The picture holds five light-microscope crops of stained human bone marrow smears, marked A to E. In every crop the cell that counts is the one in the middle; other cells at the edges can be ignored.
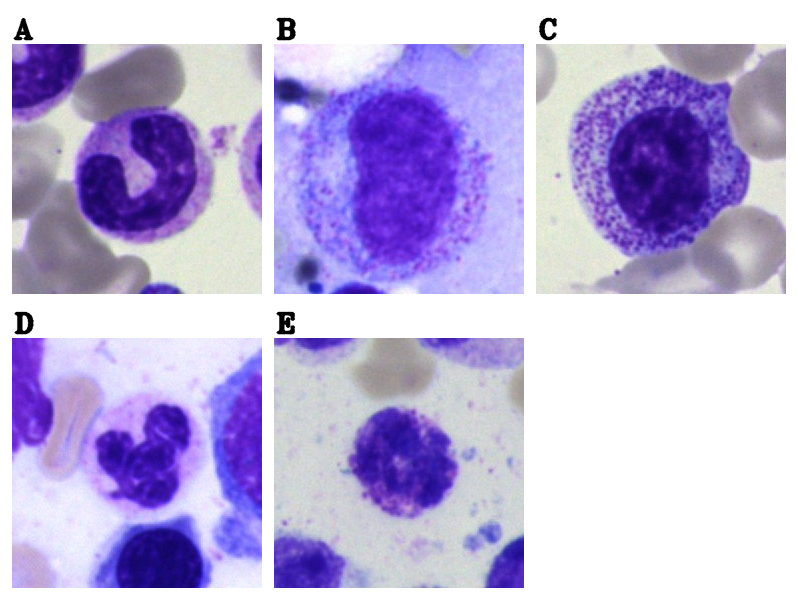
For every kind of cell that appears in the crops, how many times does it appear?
myelocyte: 2
band neutrophil: 1
segmented neutrophil: 1
basophil: 1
